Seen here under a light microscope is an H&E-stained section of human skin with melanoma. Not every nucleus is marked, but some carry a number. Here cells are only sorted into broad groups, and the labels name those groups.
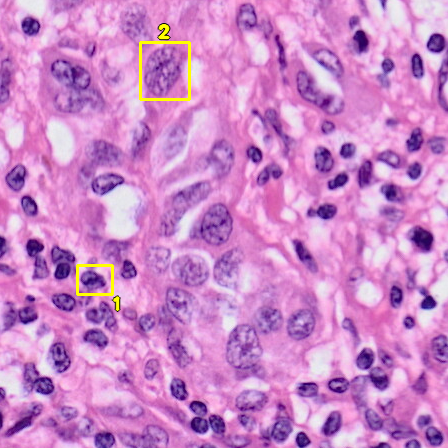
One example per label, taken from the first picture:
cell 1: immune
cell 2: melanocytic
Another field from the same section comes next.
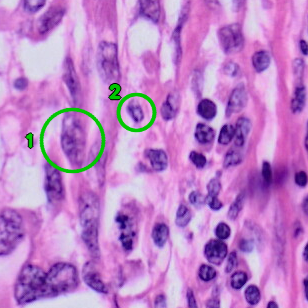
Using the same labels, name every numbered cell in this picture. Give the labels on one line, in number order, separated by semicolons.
melanocytic; immune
